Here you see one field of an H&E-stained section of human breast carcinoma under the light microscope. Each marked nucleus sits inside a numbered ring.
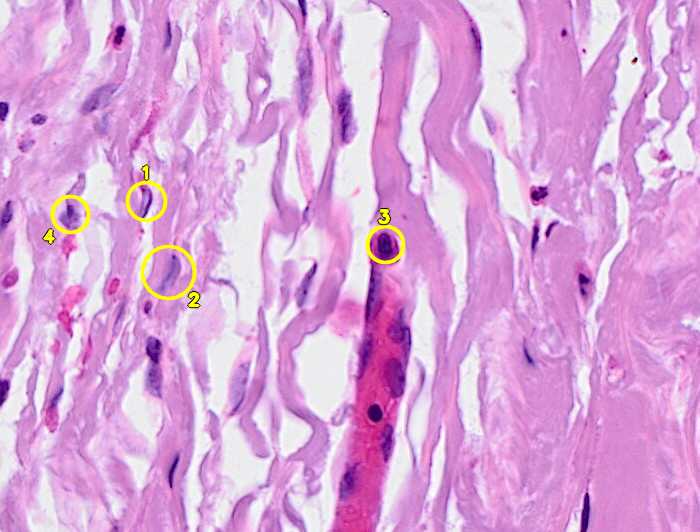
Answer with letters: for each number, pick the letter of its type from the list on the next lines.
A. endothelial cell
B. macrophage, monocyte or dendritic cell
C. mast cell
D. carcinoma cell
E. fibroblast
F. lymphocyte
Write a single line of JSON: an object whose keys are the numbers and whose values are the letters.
{"1": "E", "2": "E", "3": "C", "4": "E"}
